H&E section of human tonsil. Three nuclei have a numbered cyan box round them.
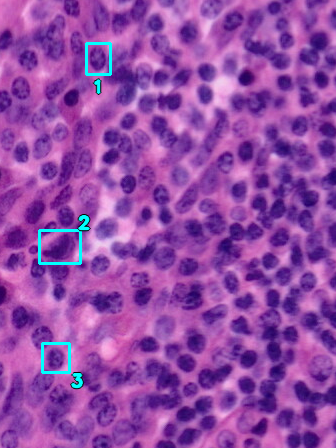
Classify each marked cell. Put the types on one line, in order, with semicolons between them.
plasma cell; squamous epithelial cell; plasma cell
